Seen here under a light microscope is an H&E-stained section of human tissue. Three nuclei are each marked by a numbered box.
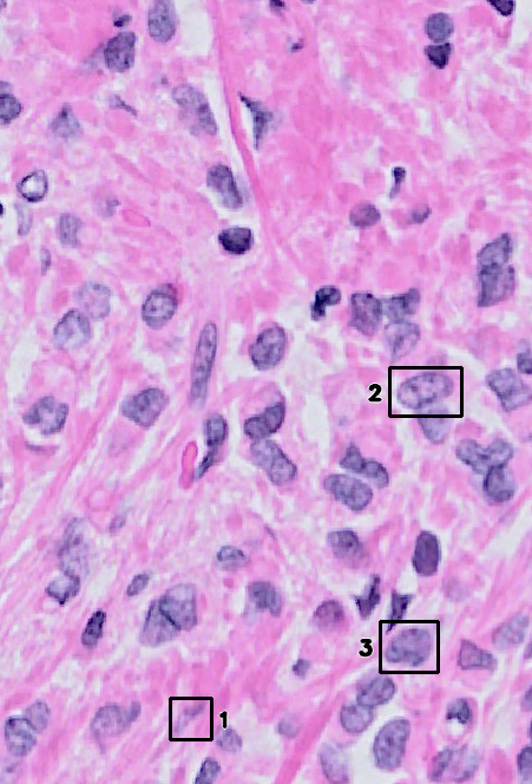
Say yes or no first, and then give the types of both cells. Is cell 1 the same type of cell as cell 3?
No, the correct reading has cell 1 as a fibroblast and cell 3 as a carcinoma cell.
